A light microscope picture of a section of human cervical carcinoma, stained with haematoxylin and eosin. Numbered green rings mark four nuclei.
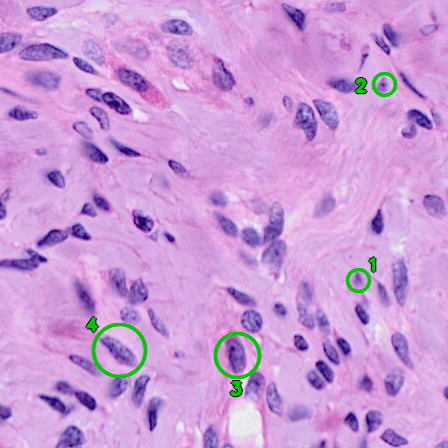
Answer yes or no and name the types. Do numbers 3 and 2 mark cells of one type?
No, unlike cell 3, which is an endothelial cell, cell 2 is a fibroblast.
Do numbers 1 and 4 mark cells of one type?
Yes, cells 1 and 4 both qualify as fibroblasts.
